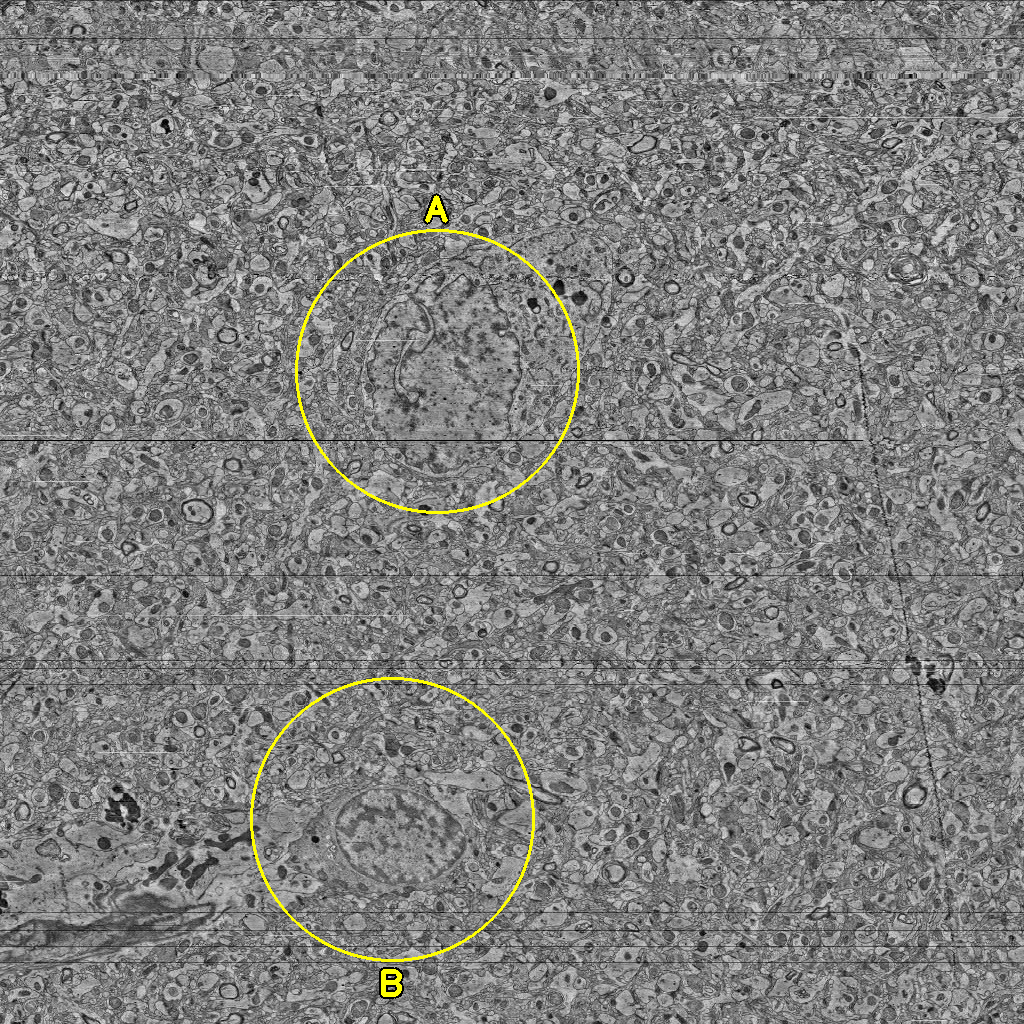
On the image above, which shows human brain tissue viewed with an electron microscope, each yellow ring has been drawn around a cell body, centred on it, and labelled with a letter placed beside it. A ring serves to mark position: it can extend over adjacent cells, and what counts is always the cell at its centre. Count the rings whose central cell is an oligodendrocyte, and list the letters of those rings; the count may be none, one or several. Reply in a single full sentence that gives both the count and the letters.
The letter B marks the single ring that is centred on an oligodendrocyte.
